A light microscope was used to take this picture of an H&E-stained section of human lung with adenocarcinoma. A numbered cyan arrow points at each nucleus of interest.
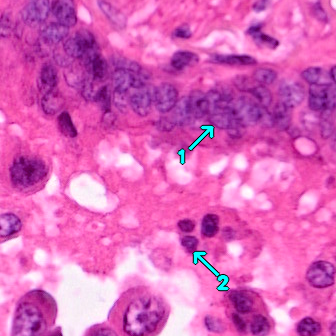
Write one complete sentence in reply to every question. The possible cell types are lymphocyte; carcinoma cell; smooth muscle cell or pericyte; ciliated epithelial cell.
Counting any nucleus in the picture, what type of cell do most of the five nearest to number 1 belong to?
Around number 1, most of the five nearest nuclei are those of ciliated epithelial cells.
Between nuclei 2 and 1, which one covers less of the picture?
The smaller nucleus is 2, and 1 covers roughly 1.5 times its area.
